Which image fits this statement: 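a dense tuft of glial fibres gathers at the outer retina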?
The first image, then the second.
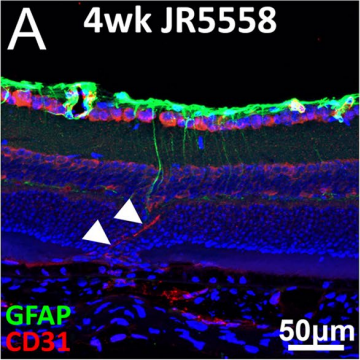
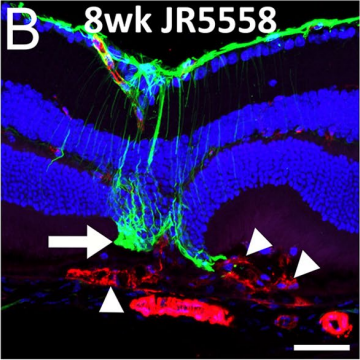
the second image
